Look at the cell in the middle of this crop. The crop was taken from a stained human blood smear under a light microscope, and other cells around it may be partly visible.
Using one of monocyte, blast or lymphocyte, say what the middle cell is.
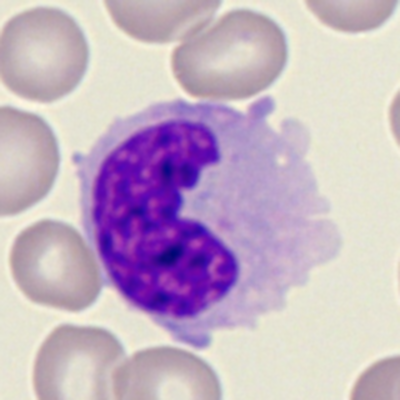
monocyte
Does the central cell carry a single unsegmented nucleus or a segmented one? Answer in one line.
One compact mass makes up the whole nucleus, round, oval or kidney-shaped.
